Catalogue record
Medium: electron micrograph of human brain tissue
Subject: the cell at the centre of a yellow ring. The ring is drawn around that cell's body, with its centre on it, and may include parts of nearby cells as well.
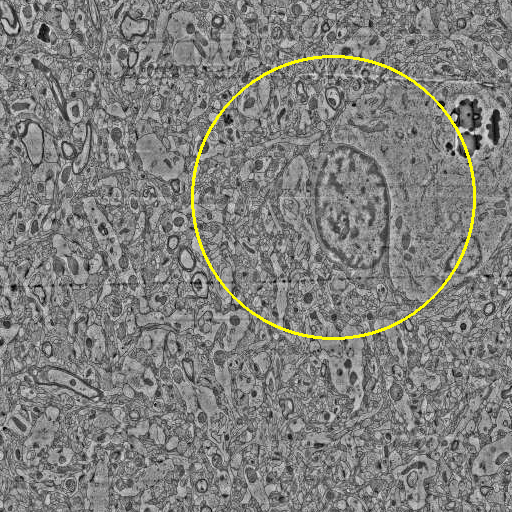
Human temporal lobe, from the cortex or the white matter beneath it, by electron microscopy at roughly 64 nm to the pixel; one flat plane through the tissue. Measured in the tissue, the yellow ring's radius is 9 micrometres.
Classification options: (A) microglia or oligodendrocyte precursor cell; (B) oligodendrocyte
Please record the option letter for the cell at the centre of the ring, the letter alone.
B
